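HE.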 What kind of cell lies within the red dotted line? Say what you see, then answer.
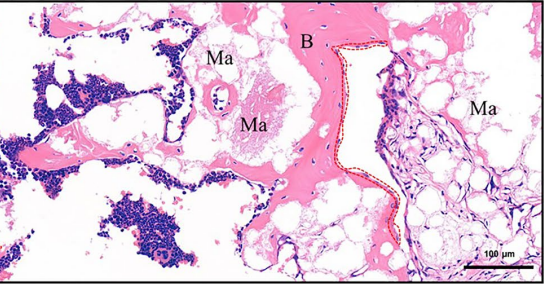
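Osteoblasts. The red dotted line follows the edge of a pink bone trabecula.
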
